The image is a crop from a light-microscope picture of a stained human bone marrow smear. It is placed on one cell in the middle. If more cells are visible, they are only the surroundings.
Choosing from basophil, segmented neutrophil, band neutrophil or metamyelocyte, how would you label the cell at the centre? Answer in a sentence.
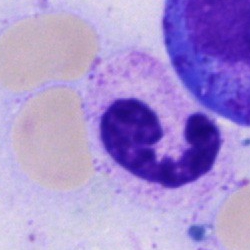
The central cell, amid any neighbouring cells, is a segmented neutrophil.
